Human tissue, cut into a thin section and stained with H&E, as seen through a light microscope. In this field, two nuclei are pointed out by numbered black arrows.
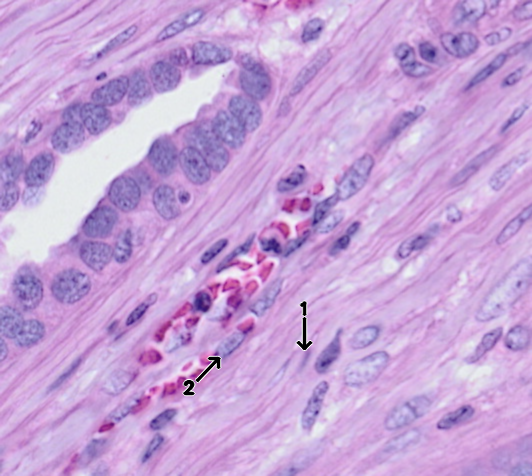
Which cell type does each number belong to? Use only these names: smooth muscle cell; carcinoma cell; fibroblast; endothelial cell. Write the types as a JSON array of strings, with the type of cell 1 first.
["fibroblast", "endothelial cell"]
